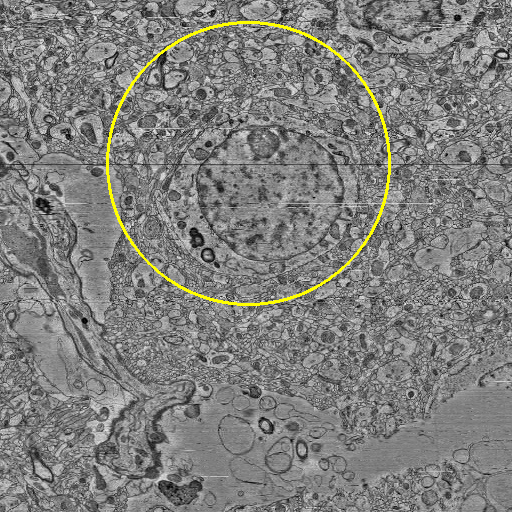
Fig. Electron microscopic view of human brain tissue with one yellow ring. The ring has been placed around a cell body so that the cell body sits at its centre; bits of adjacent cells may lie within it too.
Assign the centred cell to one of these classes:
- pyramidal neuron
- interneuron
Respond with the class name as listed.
pyramidal neuron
